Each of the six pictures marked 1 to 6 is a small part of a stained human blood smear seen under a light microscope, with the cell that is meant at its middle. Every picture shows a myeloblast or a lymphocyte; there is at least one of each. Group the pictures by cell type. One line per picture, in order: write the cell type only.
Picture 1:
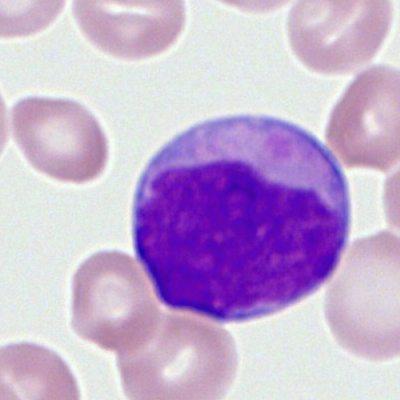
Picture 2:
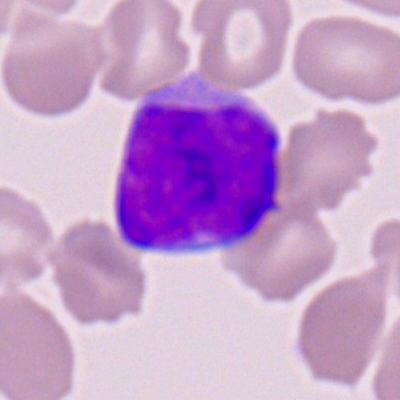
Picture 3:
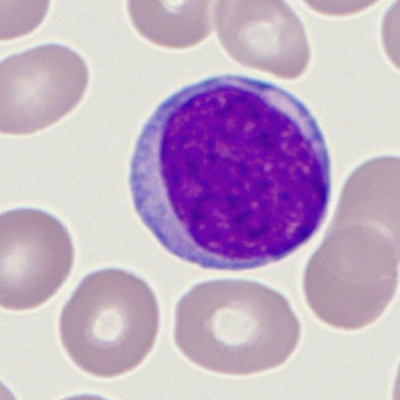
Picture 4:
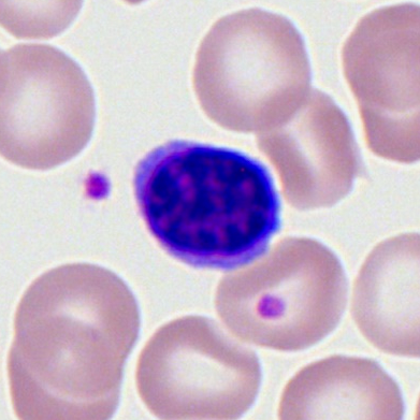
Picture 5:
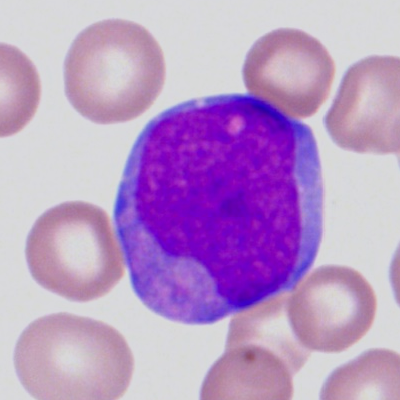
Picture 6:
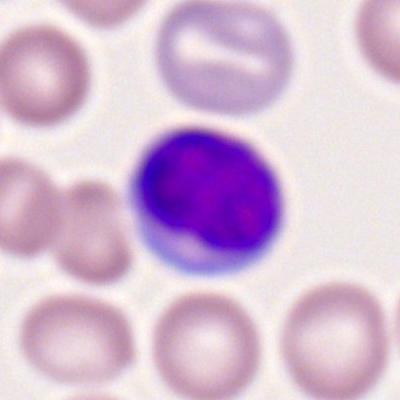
myeloblast
myeloblast
myeloblast
lymphocyte
myeloblast
lymphocyte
